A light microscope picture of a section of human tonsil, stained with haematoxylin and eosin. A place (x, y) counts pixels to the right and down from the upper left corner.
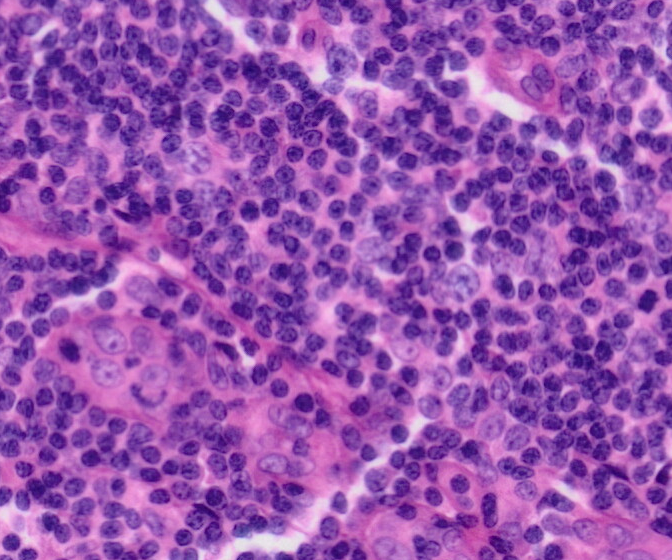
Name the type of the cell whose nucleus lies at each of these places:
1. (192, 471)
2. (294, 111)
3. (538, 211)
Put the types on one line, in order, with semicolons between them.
plasma cell; small lymphocyte; small lymphocyte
